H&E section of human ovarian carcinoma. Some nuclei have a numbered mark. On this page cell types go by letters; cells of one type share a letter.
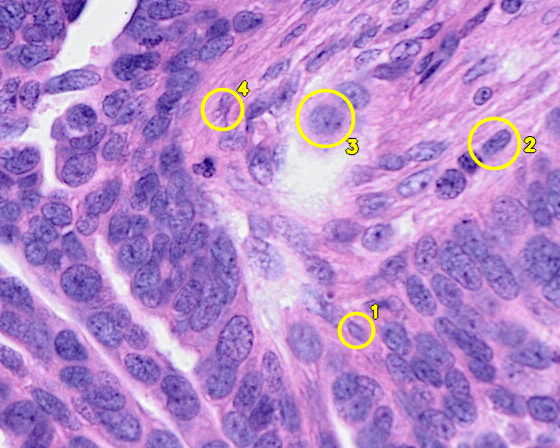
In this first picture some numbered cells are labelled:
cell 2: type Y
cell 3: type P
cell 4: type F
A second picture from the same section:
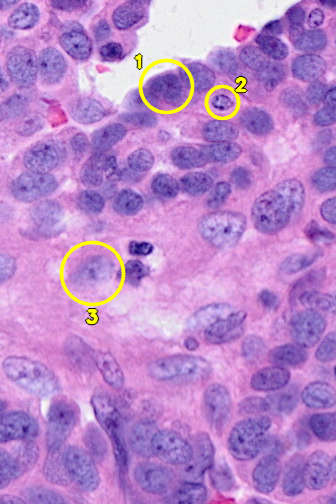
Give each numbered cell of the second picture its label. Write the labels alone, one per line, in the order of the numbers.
type P
type Y
type F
